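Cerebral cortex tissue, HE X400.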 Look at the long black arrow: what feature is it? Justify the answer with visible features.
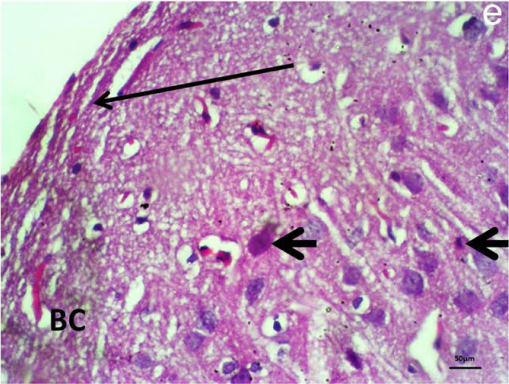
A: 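The arrow points to the thin layer at the outer surface of the cortex. This surface layer appears loosened and streaky.
Answer: pia mater layer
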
